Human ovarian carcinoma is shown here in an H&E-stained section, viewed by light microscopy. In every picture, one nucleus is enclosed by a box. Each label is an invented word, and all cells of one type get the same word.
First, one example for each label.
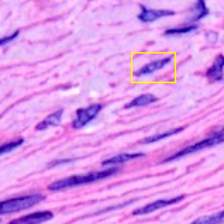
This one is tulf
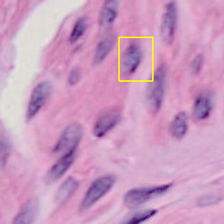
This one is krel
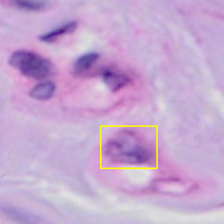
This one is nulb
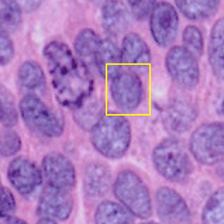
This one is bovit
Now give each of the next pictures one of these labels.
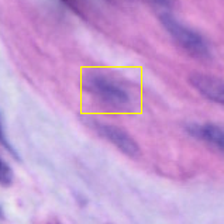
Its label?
krel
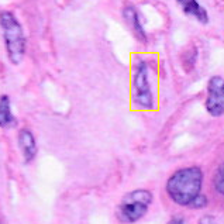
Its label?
tulf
